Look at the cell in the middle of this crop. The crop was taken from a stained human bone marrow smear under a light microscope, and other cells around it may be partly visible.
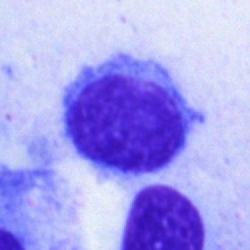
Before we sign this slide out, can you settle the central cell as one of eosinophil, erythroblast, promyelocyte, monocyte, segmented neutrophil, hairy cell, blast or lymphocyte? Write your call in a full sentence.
The middle position in this crop is taken by a hairy cell.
